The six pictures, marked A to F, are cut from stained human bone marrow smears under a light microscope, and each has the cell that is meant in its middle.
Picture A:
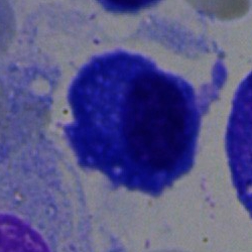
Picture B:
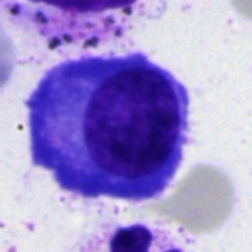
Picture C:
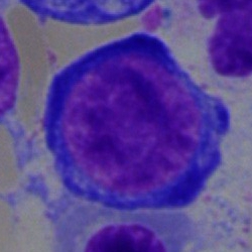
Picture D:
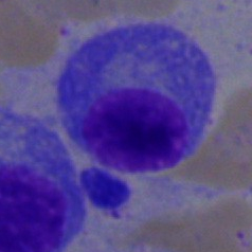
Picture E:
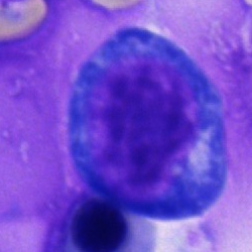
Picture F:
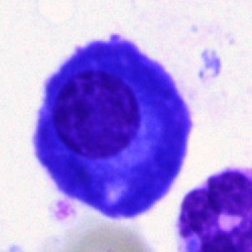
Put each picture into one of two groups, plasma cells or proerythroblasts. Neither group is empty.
A: plasma cell
B: plasma cell
C: proerythroblast
D: plasma cell
E: proerythroblast
F: plasma cell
